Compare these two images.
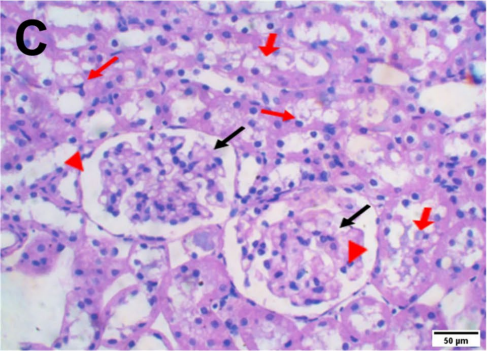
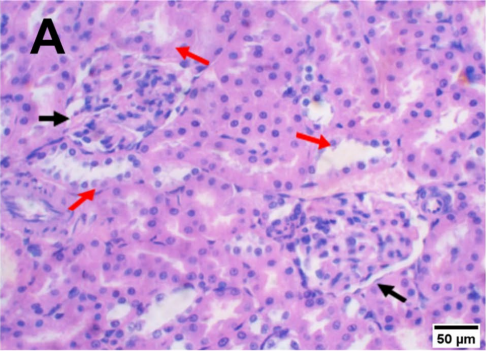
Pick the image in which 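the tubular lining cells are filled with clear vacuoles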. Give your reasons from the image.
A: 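The first image. Second image: tubular cells have evenly pink cytoplasm without vacuoles. First image: many tubular cells contain clear empty vacuoles, giving a foamy look.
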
